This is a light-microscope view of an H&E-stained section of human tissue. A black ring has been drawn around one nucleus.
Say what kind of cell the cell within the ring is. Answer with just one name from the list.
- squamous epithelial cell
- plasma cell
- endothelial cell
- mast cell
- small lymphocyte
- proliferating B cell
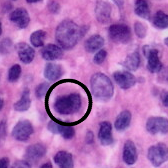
proliferating B cell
